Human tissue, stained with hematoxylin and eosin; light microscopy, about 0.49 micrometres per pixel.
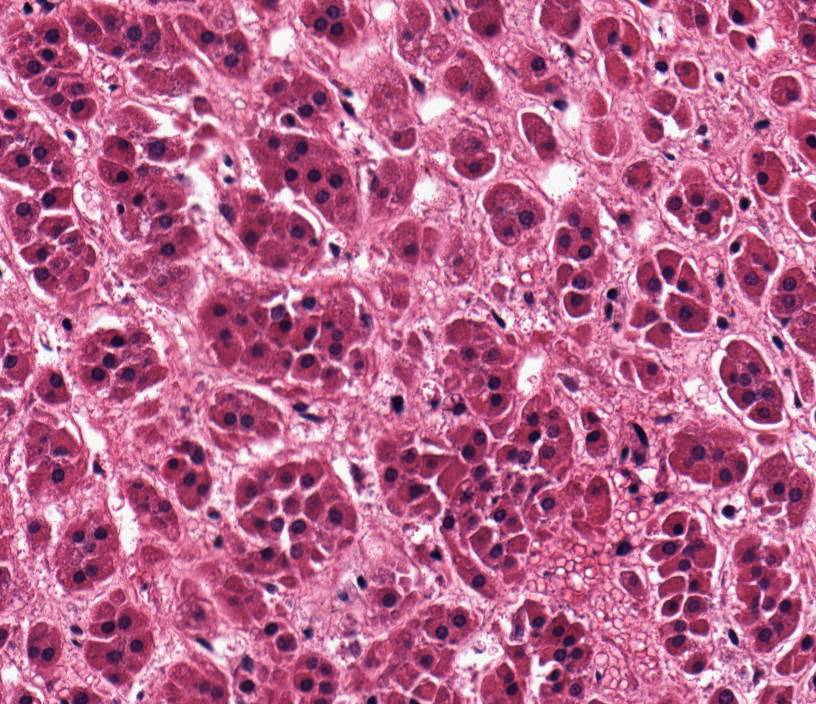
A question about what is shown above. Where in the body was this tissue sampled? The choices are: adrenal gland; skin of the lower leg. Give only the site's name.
adrenal gland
